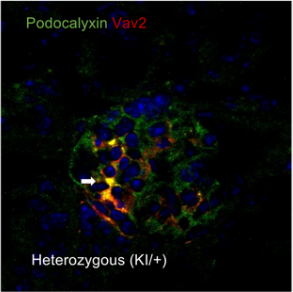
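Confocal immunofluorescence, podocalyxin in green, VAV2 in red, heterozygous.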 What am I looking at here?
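A kidney glomerulus fills the middle of the field as a compact, rounded tuft rich in blue-stained nuclei. Green fluorescence traces the outlines of capillary loops and the surfaces of cells throughout the tuft. Red and orange areas lie between the green lines inside the tuft, with yellow where the two colours overlap. A white arrow marks a bright yellow spot on the left side of the tuft. Nuclei of the surrounding tissue are visible outside the green-outlined tuft.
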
